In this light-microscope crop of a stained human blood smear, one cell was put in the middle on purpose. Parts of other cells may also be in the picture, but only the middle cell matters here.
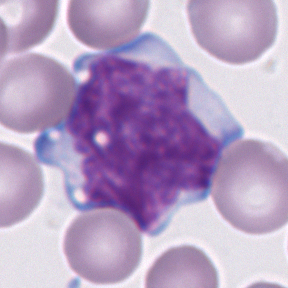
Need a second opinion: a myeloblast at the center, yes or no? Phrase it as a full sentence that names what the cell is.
Yes, as for the central cell, it is a myeloblast.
